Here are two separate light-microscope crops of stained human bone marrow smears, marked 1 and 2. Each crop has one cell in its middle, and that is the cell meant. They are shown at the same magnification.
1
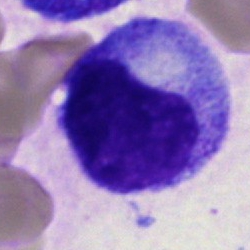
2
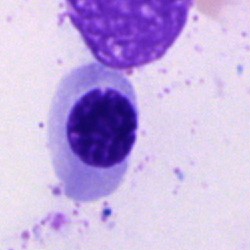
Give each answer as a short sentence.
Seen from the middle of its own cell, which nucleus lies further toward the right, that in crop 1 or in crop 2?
It is the nucleus in crop 2 that lies further toward the right of its cell.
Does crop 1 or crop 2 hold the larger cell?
Crop 1 holds the larger cell; it covers about 2.5 times the area of the cell in crop 2.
